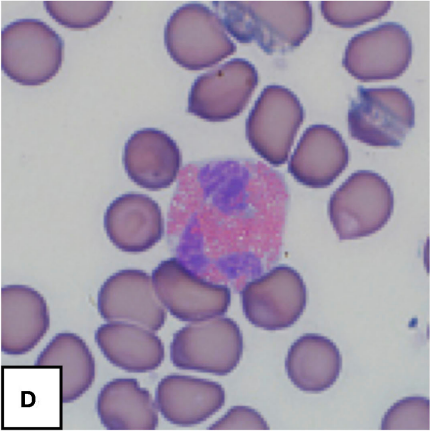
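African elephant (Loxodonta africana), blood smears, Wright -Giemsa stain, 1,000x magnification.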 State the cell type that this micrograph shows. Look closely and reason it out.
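Eosinophil. A single round white cell lies among red cells. The nucleus is purple and lobed, partly hidden by the granules.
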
